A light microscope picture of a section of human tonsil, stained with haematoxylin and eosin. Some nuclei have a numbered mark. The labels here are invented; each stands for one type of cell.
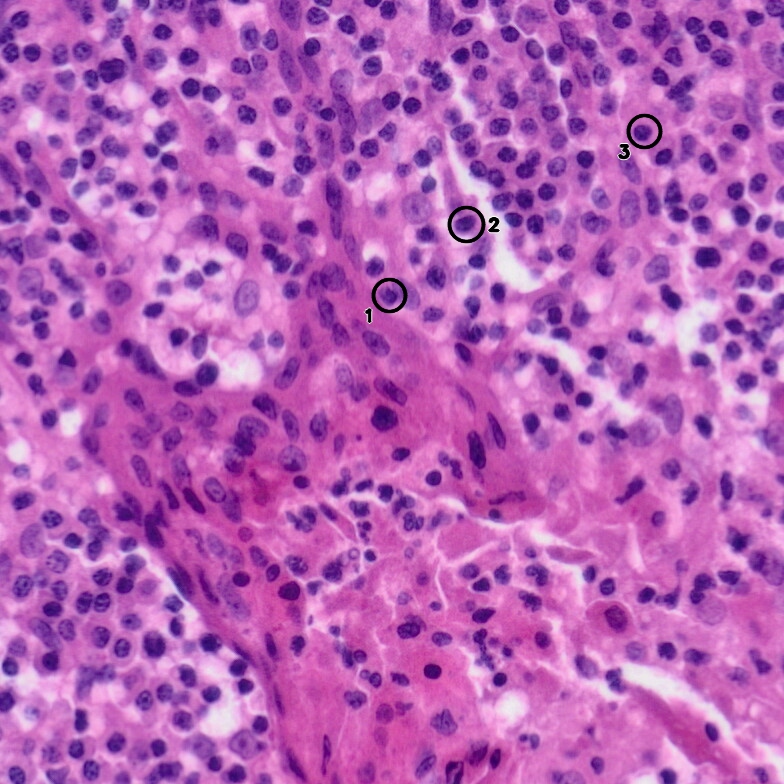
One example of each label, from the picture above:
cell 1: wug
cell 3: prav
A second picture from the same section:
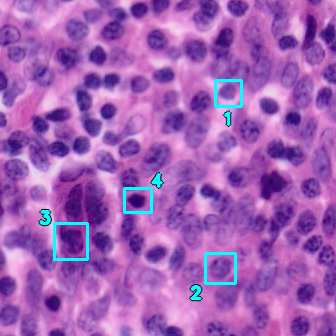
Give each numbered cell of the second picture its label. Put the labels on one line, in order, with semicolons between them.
wug; prav; wug; prav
